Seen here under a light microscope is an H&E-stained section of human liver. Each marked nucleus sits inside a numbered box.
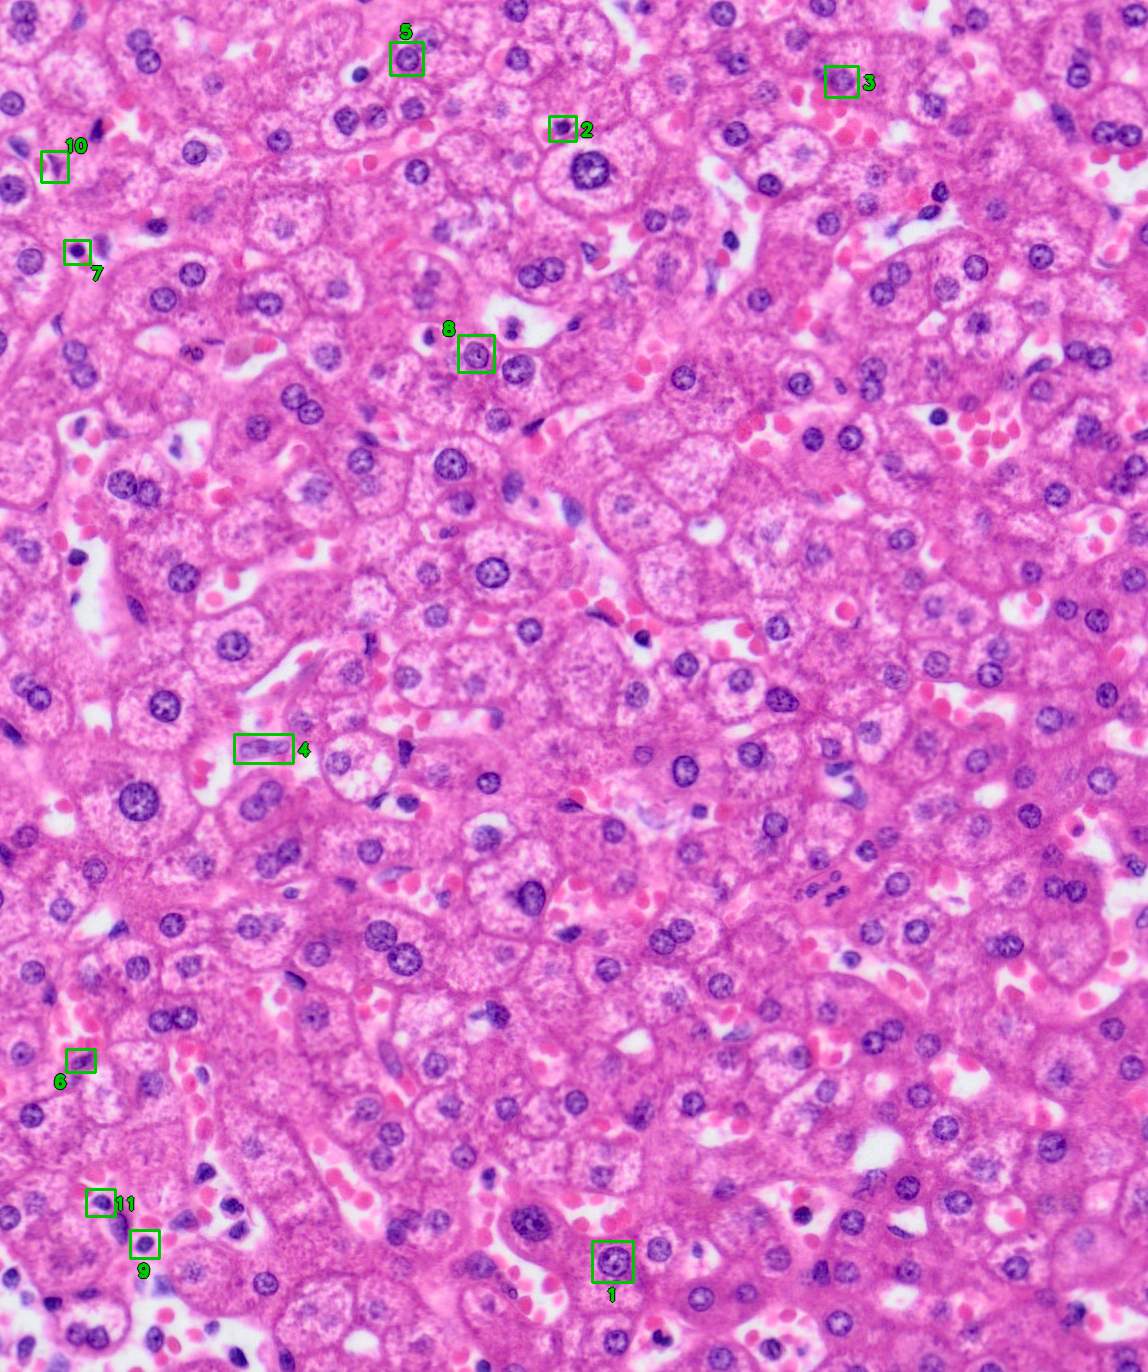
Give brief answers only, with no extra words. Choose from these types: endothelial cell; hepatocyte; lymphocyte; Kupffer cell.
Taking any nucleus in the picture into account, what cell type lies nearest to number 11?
Kupffer cell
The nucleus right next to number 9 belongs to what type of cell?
Kupffer cell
